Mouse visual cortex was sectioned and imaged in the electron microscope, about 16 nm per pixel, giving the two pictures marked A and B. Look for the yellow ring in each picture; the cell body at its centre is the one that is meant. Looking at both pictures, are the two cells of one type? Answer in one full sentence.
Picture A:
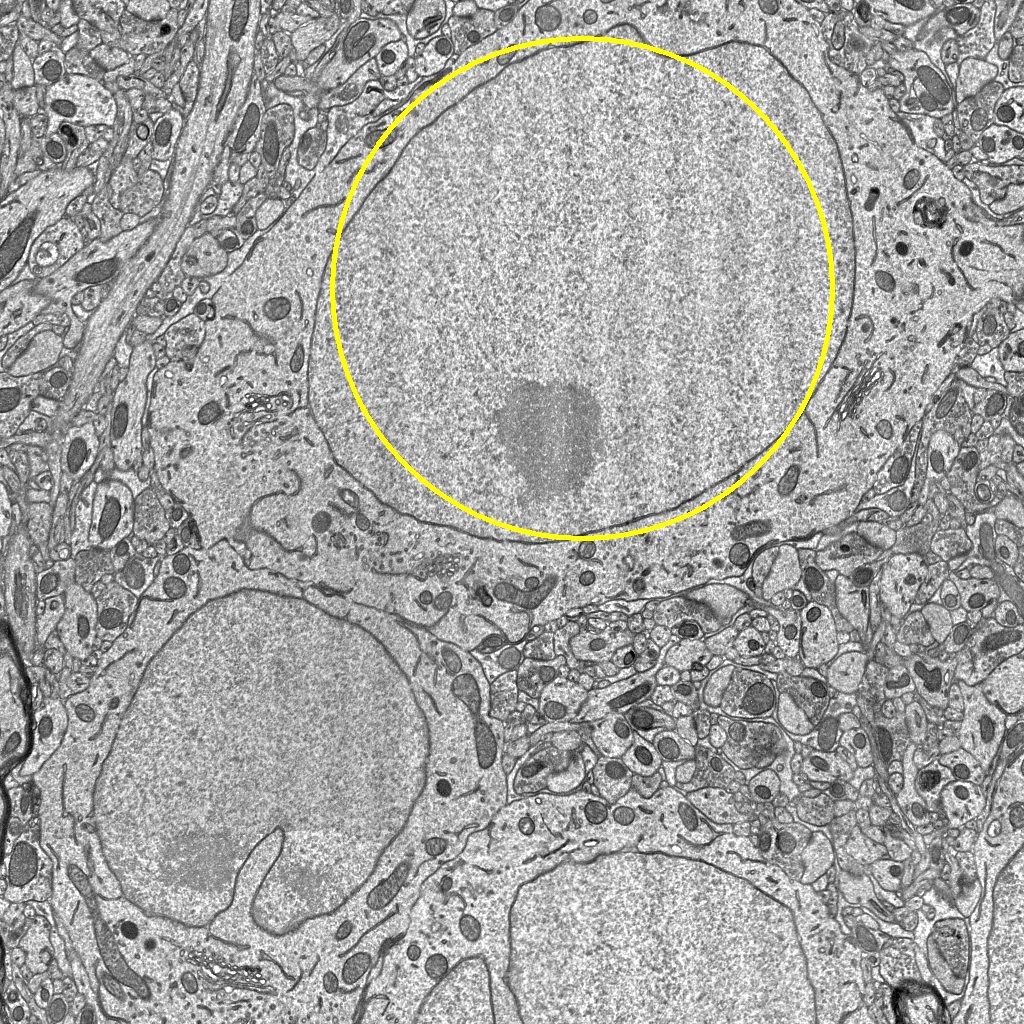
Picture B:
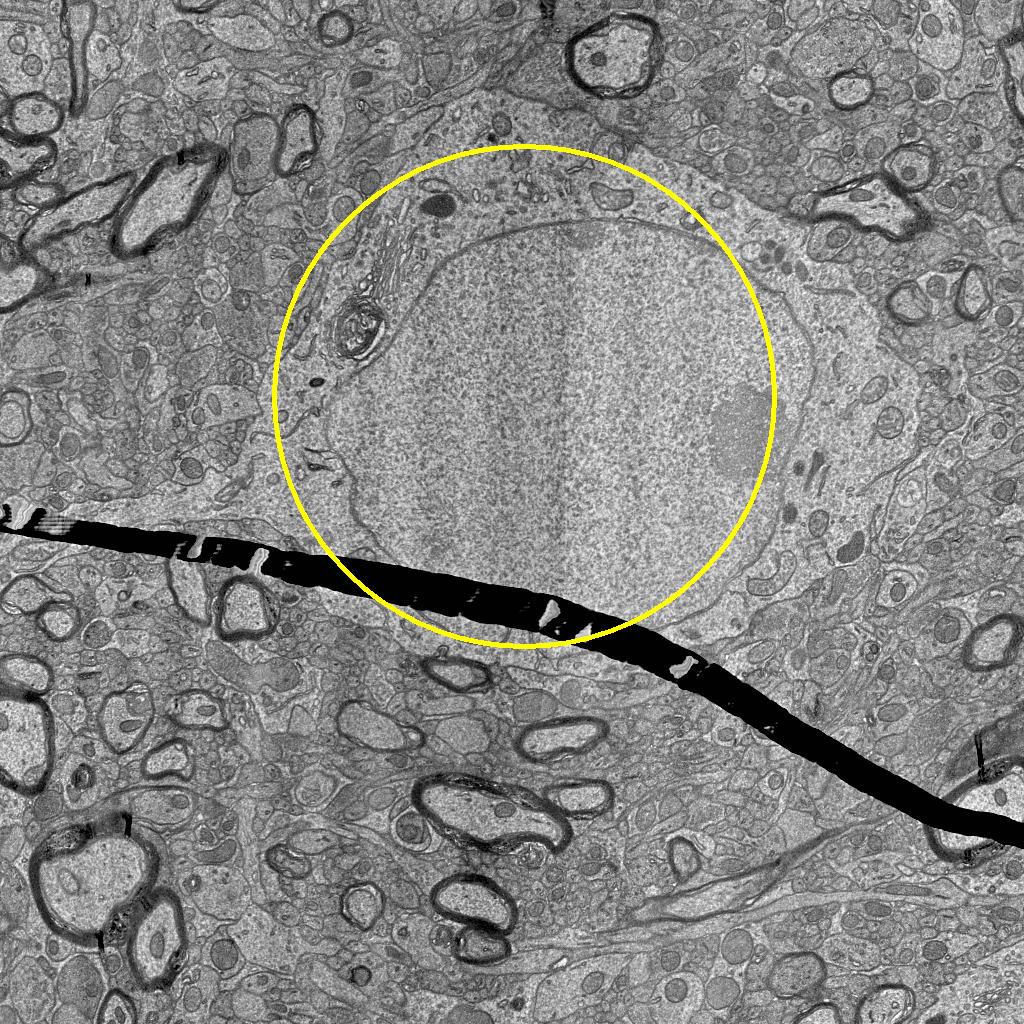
Yes; the cells in both pictures are excitatory neurons.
